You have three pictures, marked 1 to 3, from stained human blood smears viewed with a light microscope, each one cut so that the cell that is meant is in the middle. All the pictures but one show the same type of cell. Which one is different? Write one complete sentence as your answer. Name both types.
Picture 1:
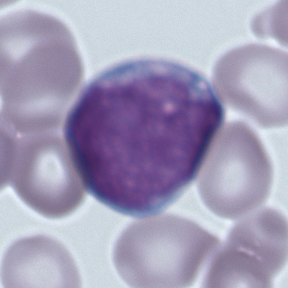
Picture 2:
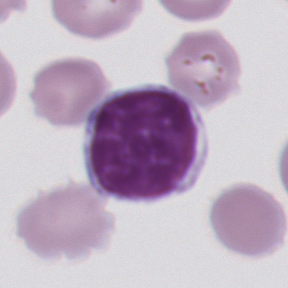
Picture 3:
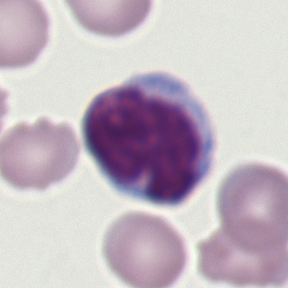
Picture 1 differs, because its cell is a myeloblast and the rest are typical lymphocytes.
